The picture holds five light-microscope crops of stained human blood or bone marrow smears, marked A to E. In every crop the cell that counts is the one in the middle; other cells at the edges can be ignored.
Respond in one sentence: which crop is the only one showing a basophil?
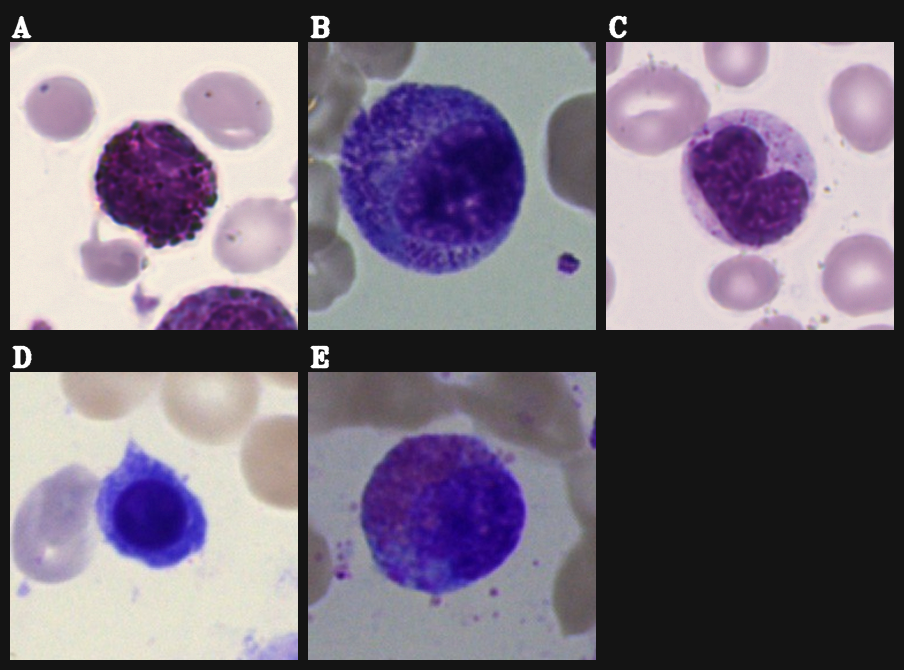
Among all the crops given here, the one with a basophil is crop A.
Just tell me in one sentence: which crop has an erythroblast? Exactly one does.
Selected crop: D, which is the one that shows an erythroblast.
